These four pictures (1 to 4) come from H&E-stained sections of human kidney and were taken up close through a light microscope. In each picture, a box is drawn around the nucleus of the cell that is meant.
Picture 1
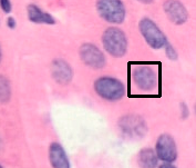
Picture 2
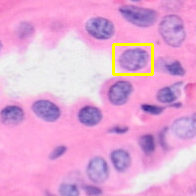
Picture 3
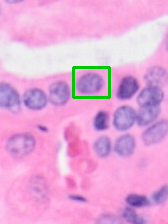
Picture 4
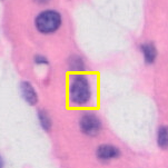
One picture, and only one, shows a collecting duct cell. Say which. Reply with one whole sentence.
The cell in picture 3 is the collecting duct cell.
